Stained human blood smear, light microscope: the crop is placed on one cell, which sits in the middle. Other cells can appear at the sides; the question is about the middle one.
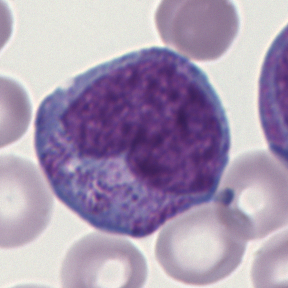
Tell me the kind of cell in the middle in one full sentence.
The centered cell in this crop is a promyelocyte.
